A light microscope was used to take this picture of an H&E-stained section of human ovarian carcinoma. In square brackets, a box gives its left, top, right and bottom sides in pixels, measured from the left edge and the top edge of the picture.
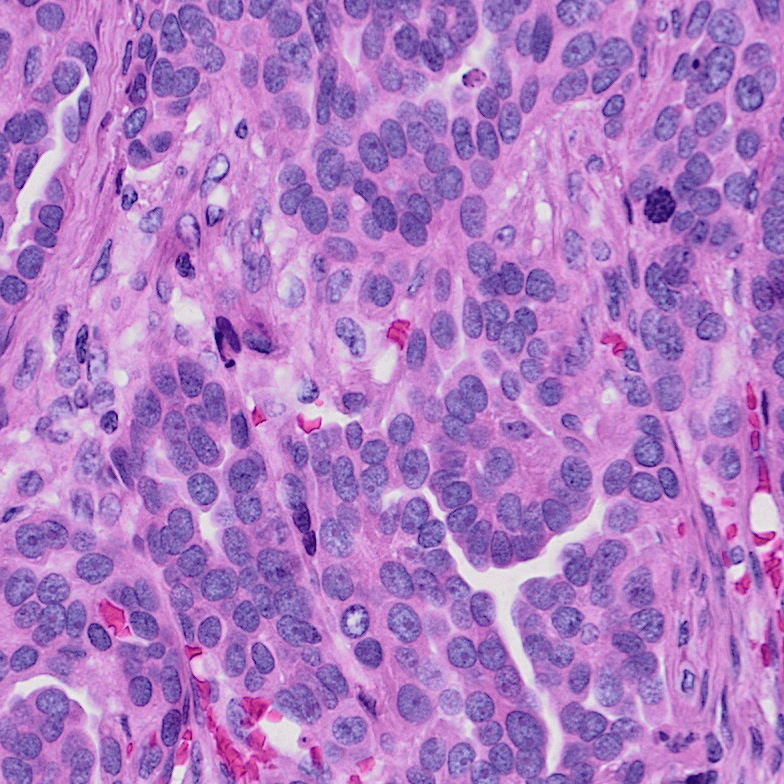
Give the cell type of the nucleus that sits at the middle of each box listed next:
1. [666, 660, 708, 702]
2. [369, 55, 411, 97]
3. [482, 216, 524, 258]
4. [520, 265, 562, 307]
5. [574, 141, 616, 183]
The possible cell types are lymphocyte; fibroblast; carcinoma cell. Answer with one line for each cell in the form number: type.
1: fibroblast
2: carcinoma cell
3: fibroblast
4: carcinoma cell
5: fibroblast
